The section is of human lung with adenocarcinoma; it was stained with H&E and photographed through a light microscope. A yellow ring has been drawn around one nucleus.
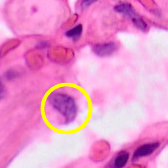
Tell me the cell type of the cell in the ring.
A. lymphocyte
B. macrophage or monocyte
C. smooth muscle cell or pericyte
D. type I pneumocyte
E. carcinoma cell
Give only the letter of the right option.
D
